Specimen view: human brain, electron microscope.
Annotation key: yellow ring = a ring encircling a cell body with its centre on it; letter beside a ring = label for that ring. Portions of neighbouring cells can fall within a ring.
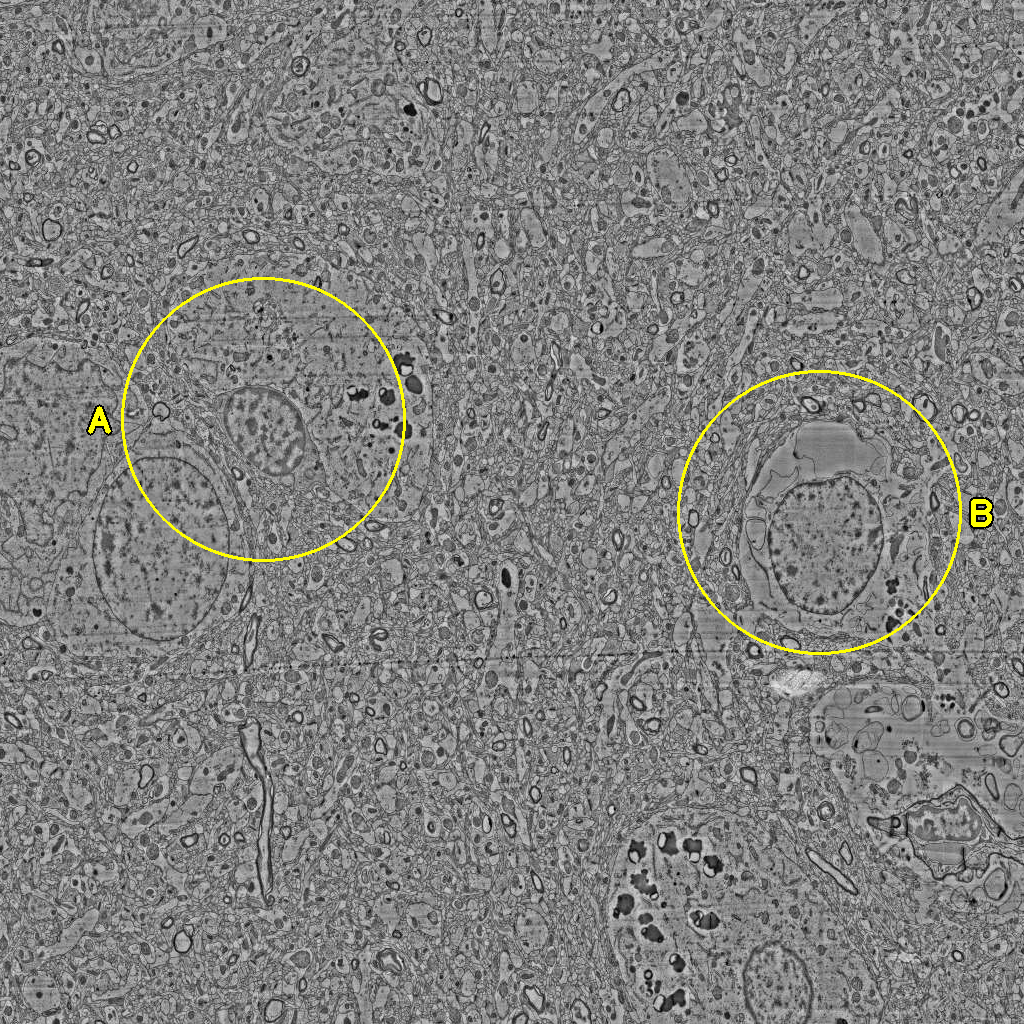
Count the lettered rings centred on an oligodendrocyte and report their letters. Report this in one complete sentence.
The letter A marks the single ring that is centred on an oligodendrocyte.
